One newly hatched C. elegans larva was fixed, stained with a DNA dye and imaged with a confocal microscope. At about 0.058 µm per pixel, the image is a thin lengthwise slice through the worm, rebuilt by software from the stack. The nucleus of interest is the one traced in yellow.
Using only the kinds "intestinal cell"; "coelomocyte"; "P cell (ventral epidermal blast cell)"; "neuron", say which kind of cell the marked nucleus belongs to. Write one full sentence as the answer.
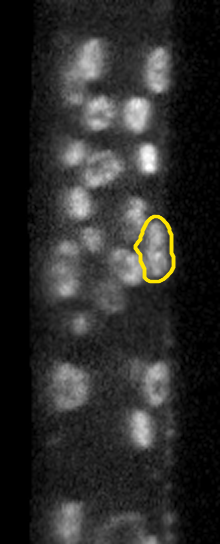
It is the nucleus of a P cell (ventral epidermal blast cell).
